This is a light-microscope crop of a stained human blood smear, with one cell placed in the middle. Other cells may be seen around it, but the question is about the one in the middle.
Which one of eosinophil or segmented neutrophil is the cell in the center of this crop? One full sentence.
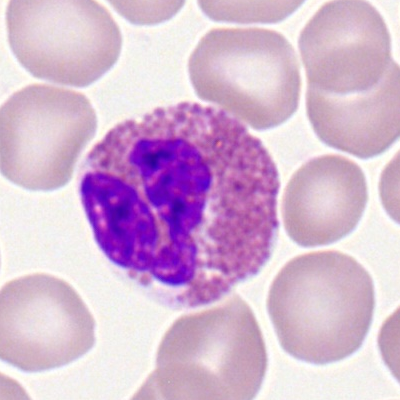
The cell the crop is centered on is an eosinophil.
